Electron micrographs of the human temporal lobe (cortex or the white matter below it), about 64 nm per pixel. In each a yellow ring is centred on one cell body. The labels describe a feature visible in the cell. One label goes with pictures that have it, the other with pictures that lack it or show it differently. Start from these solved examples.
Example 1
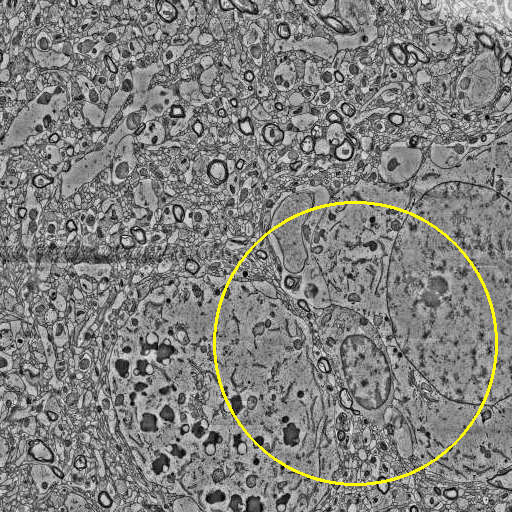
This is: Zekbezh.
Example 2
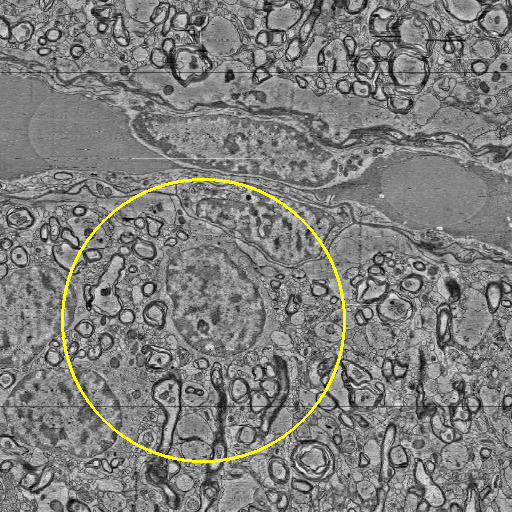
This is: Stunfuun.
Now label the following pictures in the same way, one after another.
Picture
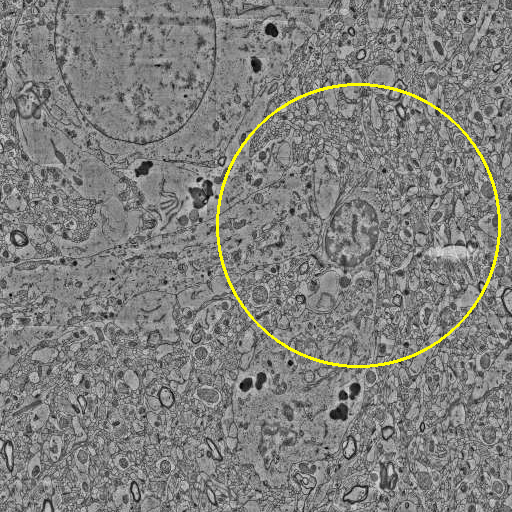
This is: Stunfuun.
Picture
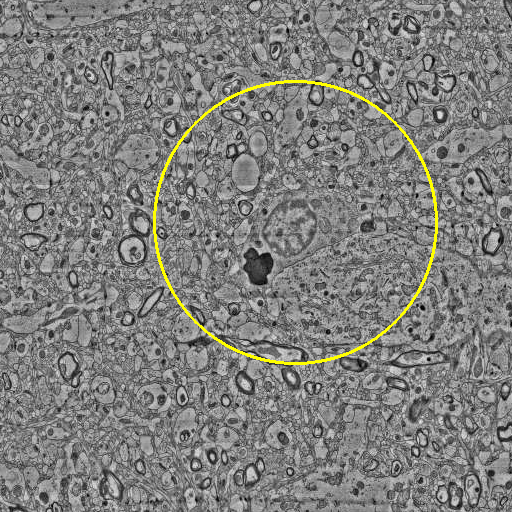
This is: Stunfuun.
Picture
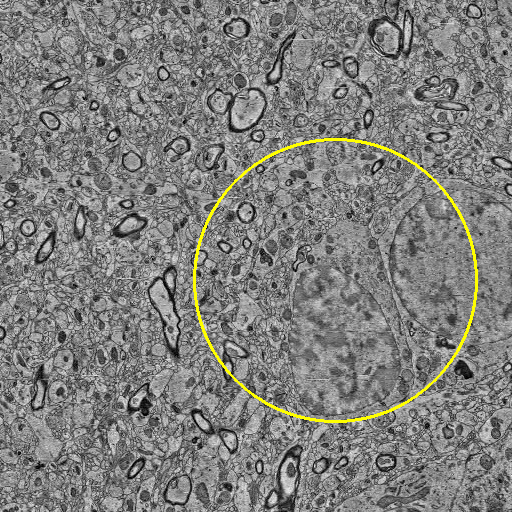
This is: Zekbezh.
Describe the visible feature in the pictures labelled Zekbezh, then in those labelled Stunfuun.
Zekbezh, clearly elongated nuclei; Stunfuun, round or nearly round nuclei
